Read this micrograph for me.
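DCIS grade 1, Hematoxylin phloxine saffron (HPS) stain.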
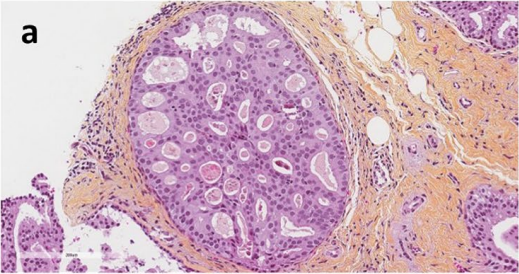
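A rounded nest of epithelial cells fills a duct and is surrounded by orange-pink fibrous stroma. The epithelial cells have small, round, uniform purple nuclei and are arranged around many small punched-out round spaces, giving a sieve-like pattern.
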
